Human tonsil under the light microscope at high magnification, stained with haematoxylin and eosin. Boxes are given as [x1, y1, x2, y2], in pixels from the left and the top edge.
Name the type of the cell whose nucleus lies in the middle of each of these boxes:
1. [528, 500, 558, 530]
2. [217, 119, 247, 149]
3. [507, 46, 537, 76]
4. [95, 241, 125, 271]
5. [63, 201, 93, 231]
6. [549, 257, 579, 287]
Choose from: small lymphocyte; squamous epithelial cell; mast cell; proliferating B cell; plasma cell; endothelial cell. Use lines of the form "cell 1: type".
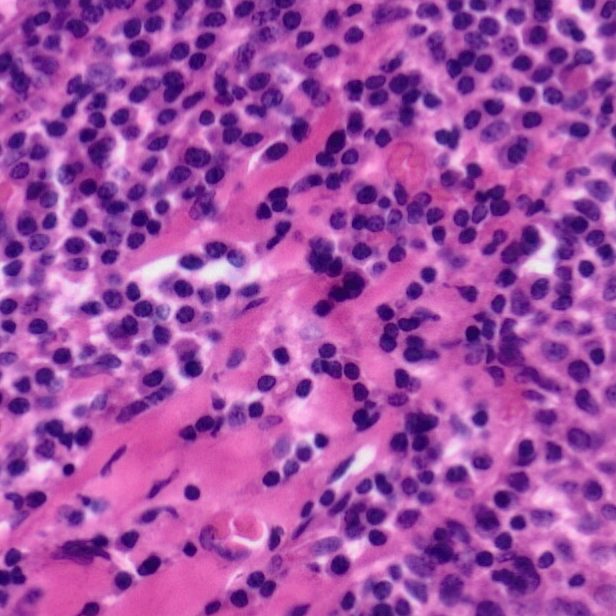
cell 1: squamous epithelial cell
cell 2: plasma cell
cell 3: plasma cell
cell 4: plasma cell
cell 5: plasma cell
cell 6: squamous epithelial cell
